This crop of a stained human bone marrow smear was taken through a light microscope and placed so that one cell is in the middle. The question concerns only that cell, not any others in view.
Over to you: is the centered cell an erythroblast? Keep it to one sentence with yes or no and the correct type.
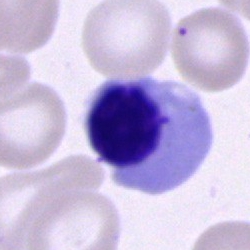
Yes, the identification of the central cell as an erythroblast is correct.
